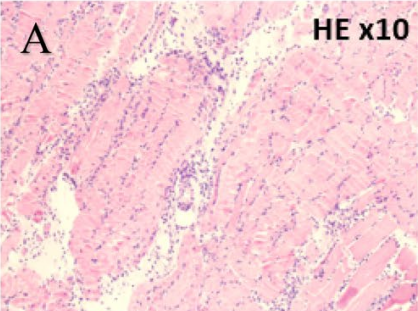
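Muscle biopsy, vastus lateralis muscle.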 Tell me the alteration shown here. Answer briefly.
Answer: Inflammatory infiltrate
